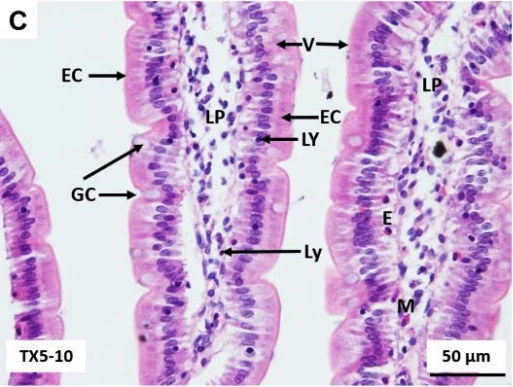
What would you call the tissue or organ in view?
Small intestine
